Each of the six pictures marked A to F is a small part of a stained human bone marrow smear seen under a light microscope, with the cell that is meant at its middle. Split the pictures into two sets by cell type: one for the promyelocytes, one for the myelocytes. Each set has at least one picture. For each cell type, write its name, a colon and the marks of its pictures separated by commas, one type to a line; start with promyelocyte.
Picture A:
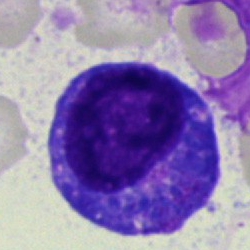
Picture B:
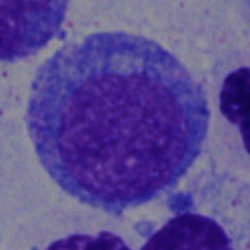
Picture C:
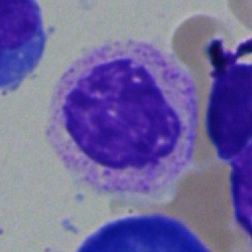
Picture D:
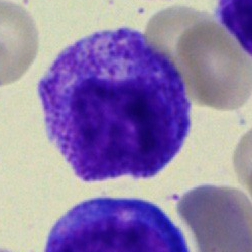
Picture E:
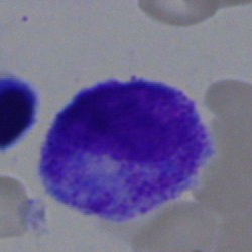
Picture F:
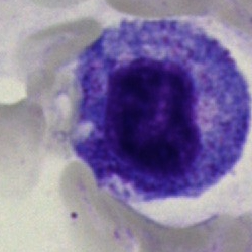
promyelocyte: A, B, F
myelocyte: C, D, E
